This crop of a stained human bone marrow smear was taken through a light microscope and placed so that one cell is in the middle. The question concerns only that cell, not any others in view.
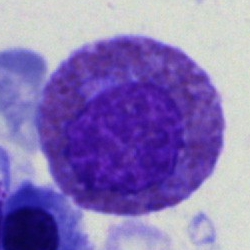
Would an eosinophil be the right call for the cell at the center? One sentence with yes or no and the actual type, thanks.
Yes, the cell under consideration, the one in the middle, is an eosinophil.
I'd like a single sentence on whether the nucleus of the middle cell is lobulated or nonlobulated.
The nucleus amounts to one compact mass with a round, oval or kidney-shaped outline.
